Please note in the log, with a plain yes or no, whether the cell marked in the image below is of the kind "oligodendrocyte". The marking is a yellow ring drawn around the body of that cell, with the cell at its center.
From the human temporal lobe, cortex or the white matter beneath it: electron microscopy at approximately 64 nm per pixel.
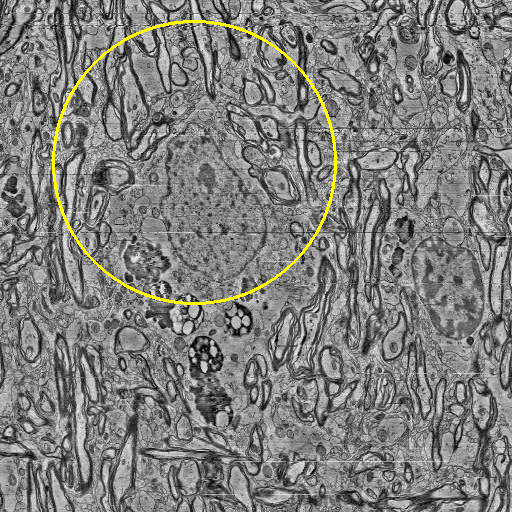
no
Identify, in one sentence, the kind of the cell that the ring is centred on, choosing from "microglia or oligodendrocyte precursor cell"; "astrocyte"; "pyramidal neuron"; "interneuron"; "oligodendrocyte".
Instead, the cell inside the ring is an astrocyte.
